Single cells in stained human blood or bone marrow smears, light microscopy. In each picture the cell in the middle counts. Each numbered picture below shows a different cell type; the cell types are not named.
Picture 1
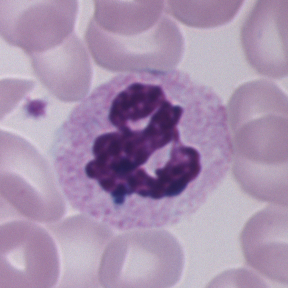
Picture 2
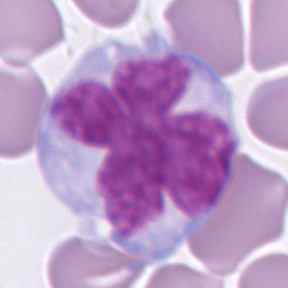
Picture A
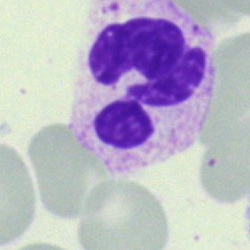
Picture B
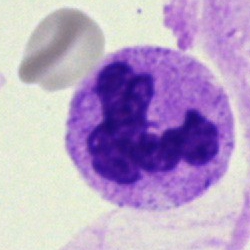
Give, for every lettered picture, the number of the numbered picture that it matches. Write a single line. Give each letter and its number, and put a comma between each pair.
A 1, B 1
